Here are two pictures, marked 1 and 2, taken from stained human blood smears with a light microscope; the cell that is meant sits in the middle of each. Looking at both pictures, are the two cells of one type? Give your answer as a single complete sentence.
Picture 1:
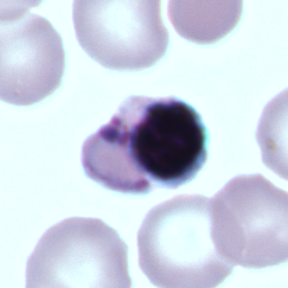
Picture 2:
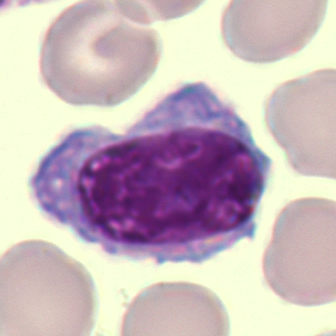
No; the cell in picture 1 is a normoblast, while the one in picture 2 is a plasma cell.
